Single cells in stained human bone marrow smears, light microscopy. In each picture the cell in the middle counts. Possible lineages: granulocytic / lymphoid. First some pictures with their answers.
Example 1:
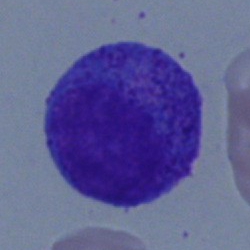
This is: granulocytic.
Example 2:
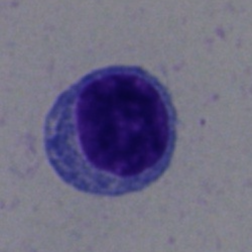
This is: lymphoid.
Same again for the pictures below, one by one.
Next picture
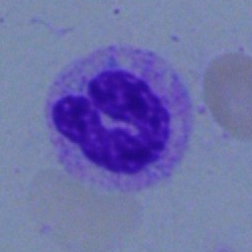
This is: granulocytic.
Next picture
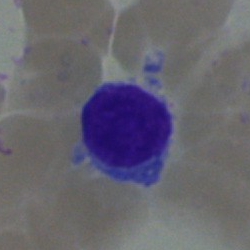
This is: lymphoid.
